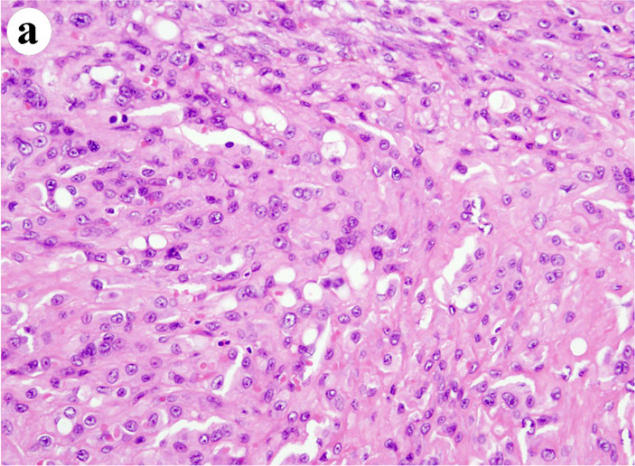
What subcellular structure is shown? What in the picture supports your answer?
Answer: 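Intracytoplasmic lumina. Round, sharply outlined clear spaces lie within the pink cytoplasm of some cells.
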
